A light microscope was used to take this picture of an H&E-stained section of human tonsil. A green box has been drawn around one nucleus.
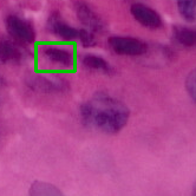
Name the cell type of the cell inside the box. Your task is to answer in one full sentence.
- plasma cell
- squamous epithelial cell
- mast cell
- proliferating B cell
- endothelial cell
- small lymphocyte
It is as a squamous epithelial cell that the cell inside the box is classified.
